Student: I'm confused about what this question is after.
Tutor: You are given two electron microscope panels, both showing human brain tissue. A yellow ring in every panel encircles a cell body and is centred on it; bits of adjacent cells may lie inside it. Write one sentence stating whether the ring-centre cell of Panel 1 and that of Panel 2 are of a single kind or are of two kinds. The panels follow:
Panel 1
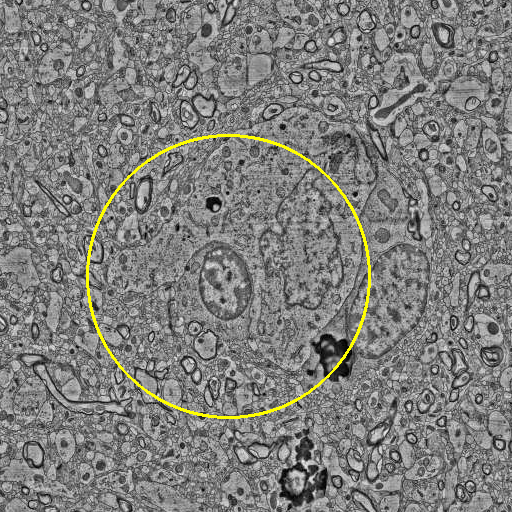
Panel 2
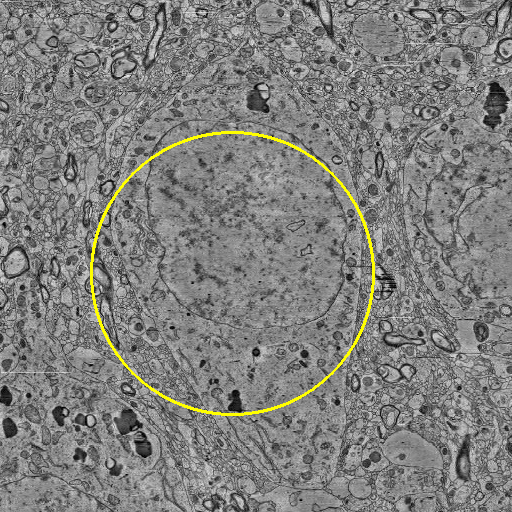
Here, the Panel 1 ring-centre cell and the Panel 2 ring-centre cell are of two kinds.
